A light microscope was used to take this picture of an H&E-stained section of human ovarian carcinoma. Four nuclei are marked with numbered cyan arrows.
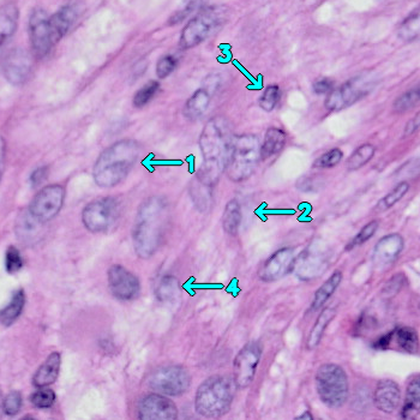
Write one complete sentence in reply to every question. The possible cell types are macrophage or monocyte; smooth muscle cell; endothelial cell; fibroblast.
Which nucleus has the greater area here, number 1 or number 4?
Of the two, number 1 is bigger and takes up about 1.5 times the area of number 4.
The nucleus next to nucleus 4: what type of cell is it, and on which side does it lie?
Lying to the left of nucleus 4, the nearest nucleus is that of a macrophage or monocyte.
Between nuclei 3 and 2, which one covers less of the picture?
Number 3 is smaller, since number 2 takes up about 2 times as much area.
